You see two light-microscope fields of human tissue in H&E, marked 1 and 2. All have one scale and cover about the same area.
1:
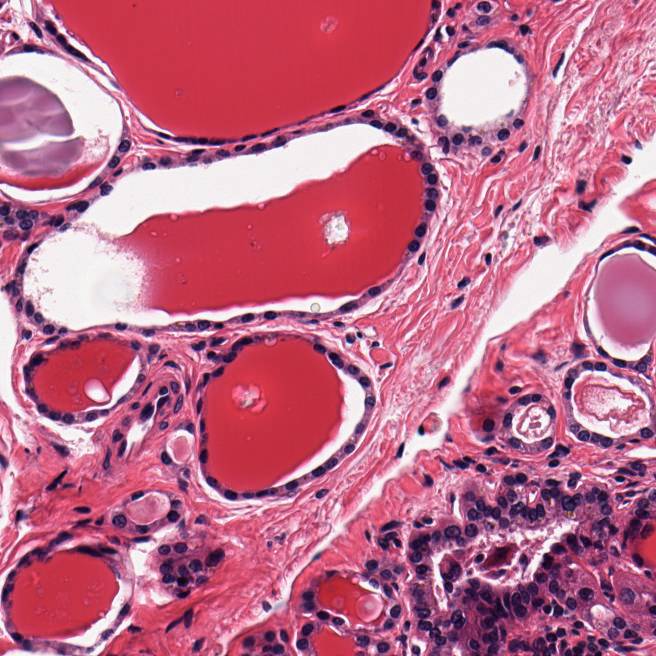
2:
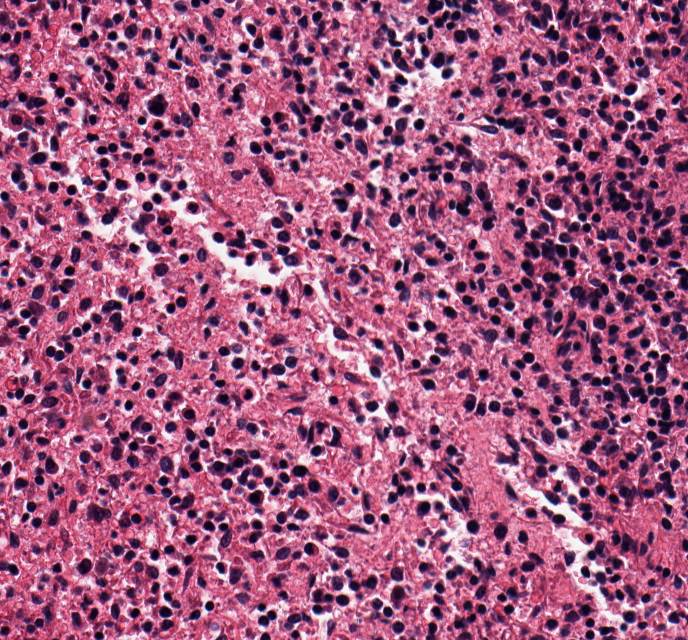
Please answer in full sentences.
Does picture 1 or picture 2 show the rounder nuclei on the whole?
On the whole the nuclei of picture 2 are rounder than those of picture 1.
